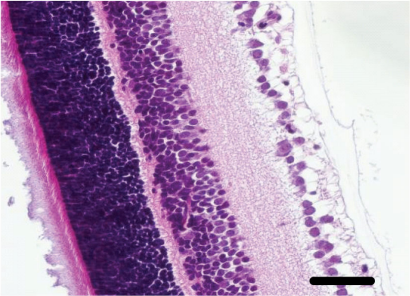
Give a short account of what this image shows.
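This is a cross-section of a normal retina stained with haematoxylin and eosin, showing its orderly layers. At the left edge lies a pink band of photoreceptor segments, next to a thick, densely packed layer of small, darkly stained round nuclei, the outer nuclear layer. A thin pale band separates this from a narrower layer of somewhat larger, less tightly packed purple nuclei, the inner nuclear layer. To the right is a broad, pale pink, finely fibrillar layer without nuclei. At the inner surface lies a single loose row of larger rounded cells with paler nuclei and visible cytoplasm, the ganglion cell layer, and no extravasated red blood cells are seen.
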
